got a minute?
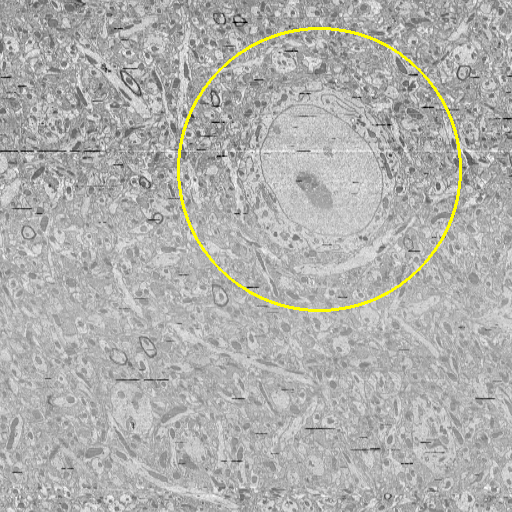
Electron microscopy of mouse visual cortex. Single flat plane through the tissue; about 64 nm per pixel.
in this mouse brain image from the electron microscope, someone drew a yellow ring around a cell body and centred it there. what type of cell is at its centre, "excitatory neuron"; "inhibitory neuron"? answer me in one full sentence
It's an excitatory neuron at the middle of that yellow ring in the shot.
